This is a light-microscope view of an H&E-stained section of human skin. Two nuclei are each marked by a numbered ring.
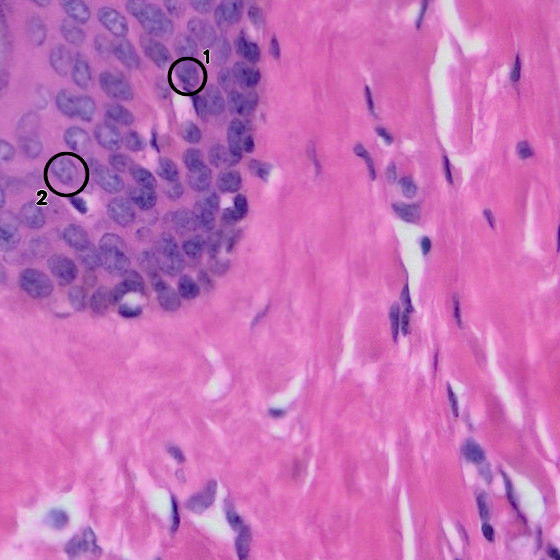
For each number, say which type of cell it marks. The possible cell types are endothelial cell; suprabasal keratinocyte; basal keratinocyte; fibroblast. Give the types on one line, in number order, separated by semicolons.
basal keratinocyte; suprabasal keratinocyte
